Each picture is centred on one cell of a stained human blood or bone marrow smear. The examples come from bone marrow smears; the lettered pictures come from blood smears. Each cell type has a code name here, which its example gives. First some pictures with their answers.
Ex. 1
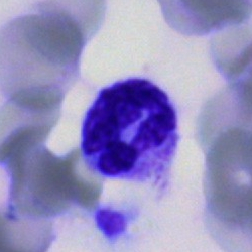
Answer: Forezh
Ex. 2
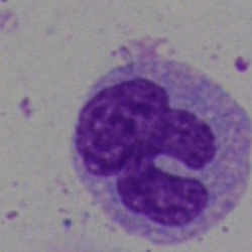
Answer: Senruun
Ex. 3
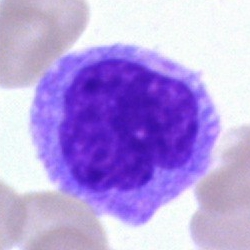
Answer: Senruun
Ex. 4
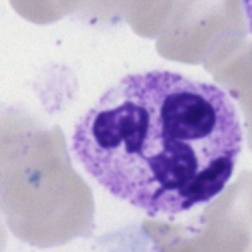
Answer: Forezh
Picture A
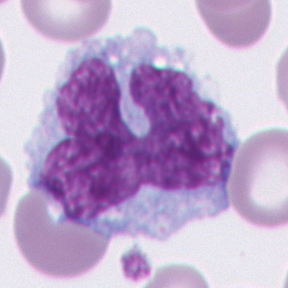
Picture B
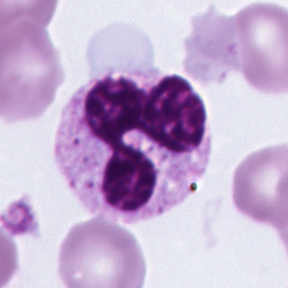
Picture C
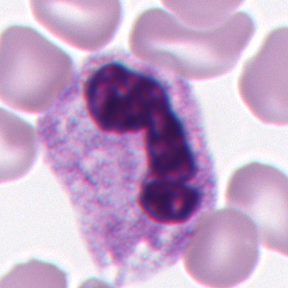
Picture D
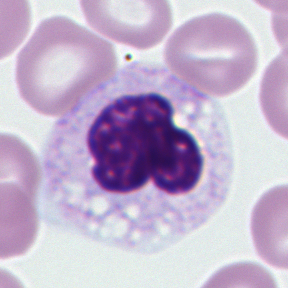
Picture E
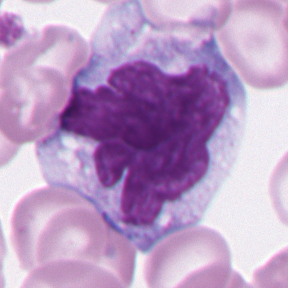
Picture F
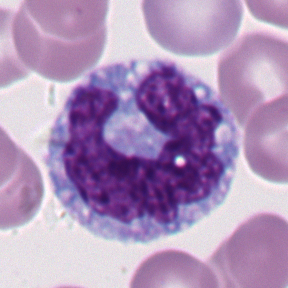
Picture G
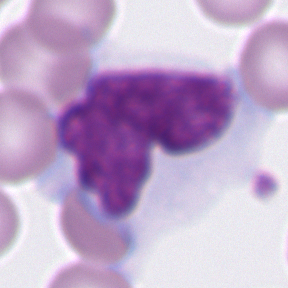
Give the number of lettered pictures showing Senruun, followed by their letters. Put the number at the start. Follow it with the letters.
4, namely A, E, F, G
